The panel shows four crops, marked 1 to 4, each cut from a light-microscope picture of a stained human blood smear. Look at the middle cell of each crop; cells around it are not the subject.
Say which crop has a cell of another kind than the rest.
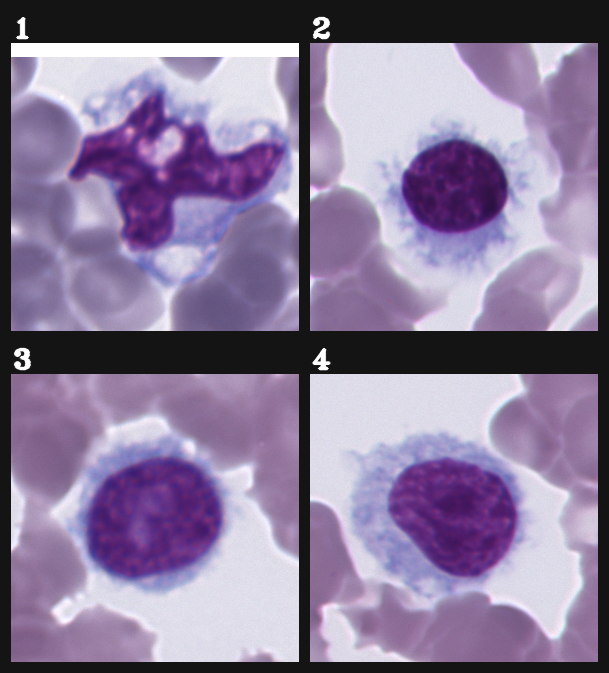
1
